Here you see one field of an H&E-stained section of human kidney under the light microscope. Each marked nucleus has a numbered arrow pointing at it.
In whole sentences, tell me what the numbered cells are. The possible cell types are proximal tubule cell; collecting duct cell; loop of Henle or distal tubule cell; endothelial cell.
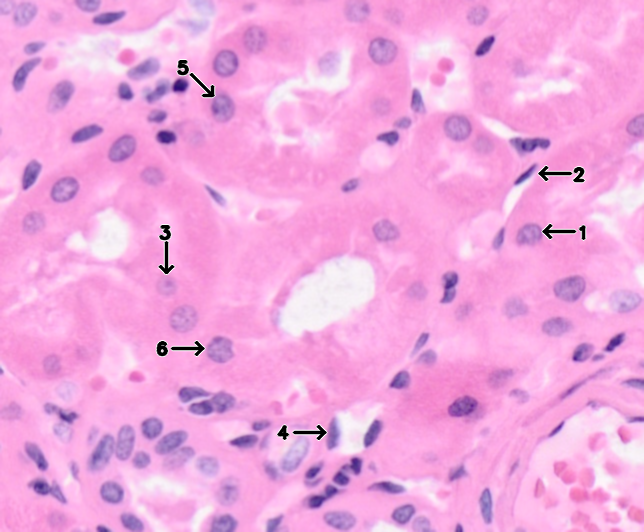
Cell 1 is a proximal tubule cell, cell 2 is an endothelial cell, cell 3 is a proximal tubule cell, cell 4 is an endothelial cell, cell 5 is a proximal tubule cell and cell 6 is a proximal tubule cell.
